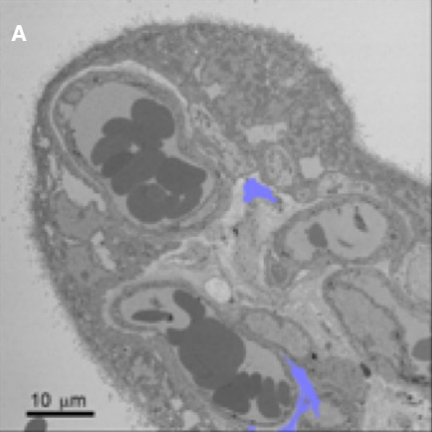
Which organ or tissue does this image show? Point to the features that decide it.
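Placental villus. A rounded tissue profile bounded by an outer epithelial layer with a fuzzy, brush-like free surface. The core is a loose stroma containing several large vessel lumens filled with dark, densely packed bodies.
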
